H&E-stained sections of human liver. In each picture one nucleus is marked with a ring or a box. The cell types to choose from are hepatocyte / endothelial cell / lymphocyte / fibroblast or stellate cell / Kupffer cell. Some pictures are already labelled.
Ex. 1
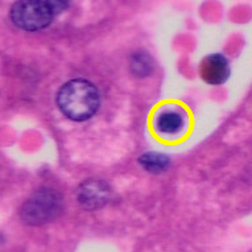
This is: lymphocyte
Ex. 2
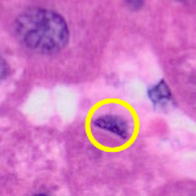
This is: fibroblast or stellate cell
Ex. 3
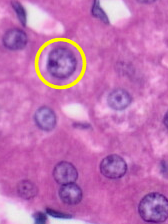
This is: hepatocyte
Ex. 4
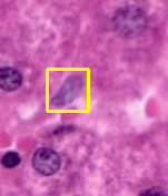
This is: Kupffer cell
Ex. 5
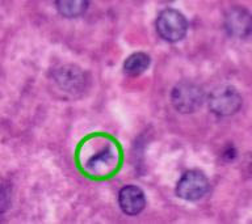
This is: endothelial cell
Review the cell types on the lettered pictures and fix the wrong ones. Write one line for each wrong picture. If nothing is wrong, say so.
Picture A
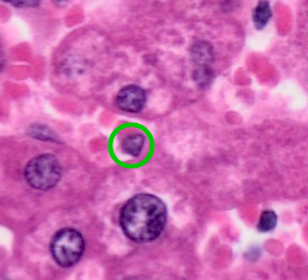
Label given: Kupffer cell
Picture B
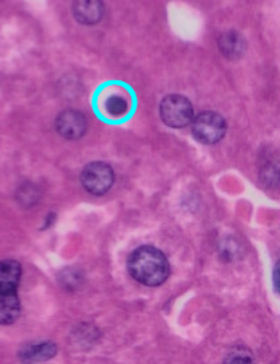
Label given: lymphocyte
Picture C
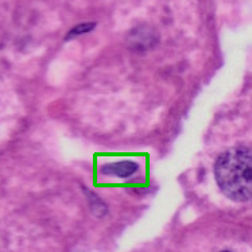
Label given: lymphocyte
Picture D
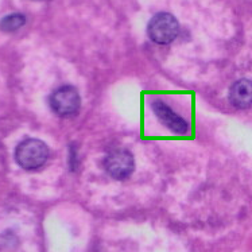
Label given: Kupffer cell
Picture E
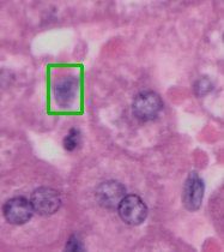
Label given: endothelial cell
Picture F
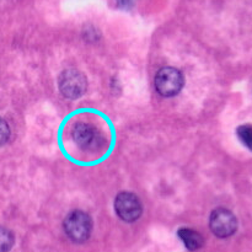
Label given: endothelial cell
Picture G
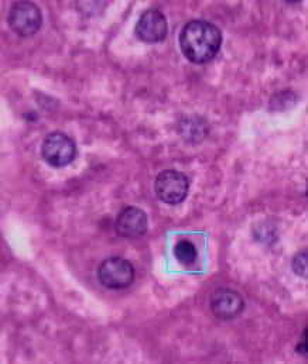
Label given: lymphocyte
All labels are correct.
